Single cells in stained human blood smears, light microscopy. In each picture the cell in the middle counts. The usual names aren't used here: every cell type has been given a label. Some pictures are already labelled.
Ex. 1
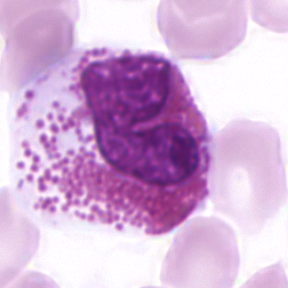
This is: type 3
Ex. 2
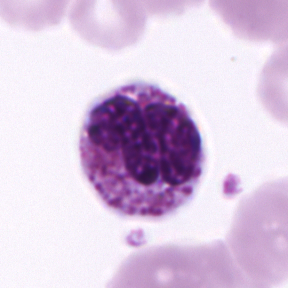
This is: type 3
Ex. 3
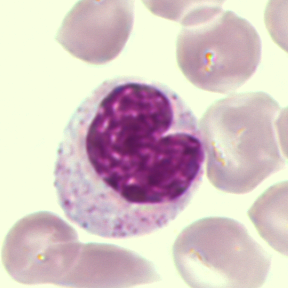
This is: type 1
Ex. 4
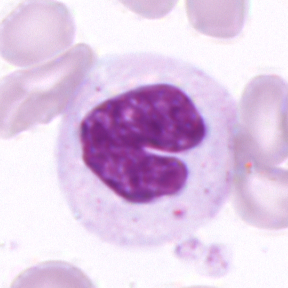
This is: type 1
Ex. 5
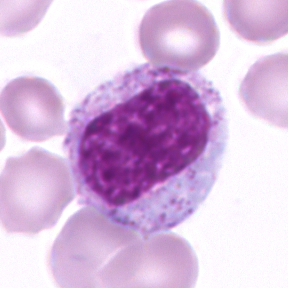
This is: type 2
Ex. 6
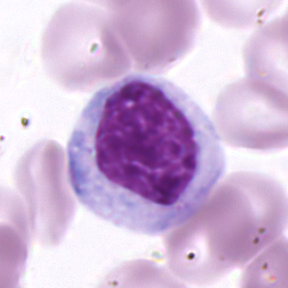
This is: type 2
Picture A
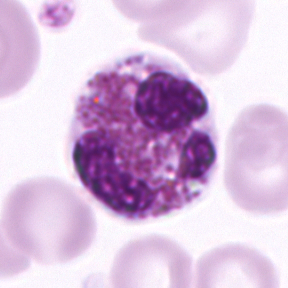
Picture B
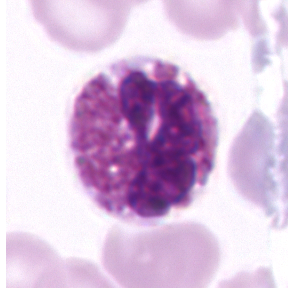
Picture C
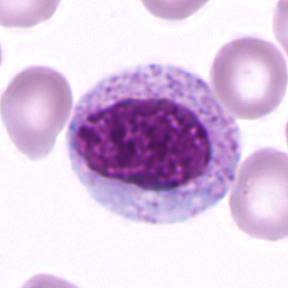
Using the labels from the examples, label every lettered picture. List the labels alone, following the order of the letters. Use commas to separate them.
type 3, type 3, type 2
